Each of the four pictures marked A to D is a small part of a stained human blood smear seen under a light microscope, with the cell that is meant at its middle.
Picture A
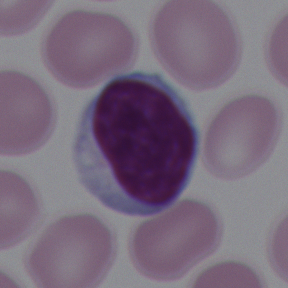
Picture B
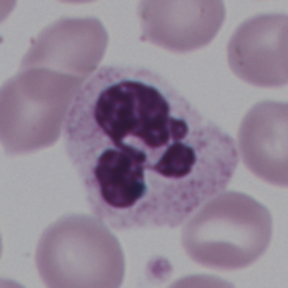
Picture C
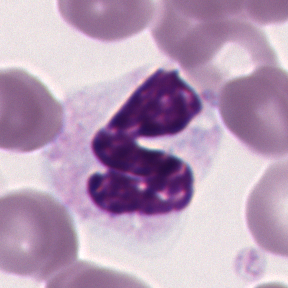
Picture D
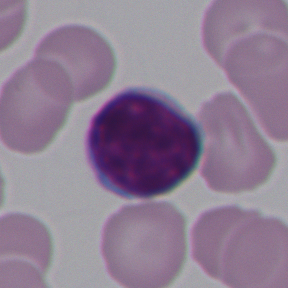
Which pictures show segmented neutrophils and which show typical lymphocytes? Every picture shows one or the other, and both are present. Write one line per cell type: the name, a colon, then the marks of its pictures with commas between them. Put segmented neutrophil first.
segmented neutrophil: B, C
typical lymphocyte: A, D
